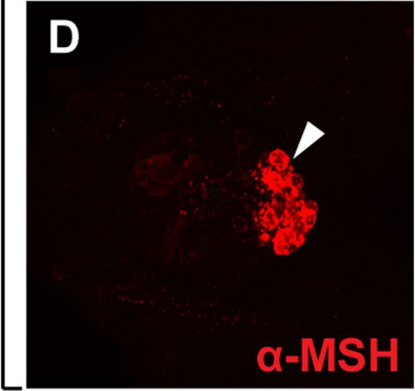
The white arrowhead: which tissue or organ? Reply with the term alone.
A: Pituitary gland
